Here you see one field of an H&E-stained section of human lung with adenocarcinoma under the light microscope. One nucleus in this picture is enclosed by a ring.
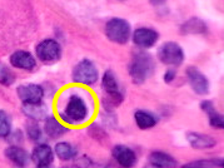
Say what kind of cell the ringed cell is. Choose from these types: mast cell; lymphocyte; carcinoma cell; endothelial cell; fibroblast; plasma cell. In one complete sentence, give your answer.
It is as a lymphocyte that the ringed cell is recorded.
